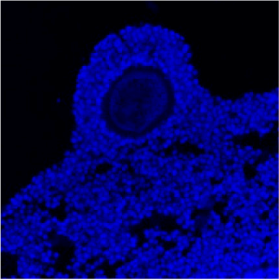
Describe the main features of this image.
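This is the wall of an antral follicle with granulosa cells and a mound of cumulus cells, shown by their blue nuclei. A large round structure with a faint rim sits in the mound, surrounded by several layers of small round cumulus nuclei. Below, the granulosa cells form a thick multilayered sheet of small, densely packed round nuclei, with scattered dark gaps between groups of cells. Dark empty space borders the cell layers above.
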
